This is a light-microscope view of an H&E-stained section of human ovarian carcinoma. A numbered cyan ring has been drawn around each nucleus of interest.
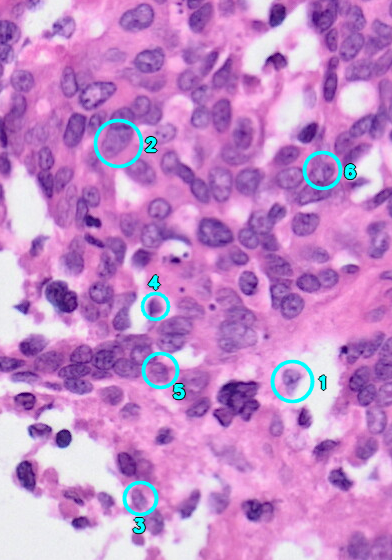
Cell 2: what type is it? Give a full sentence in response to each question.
Cell 2 should be recorded as a carcinoma cell.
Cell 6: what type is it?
The cell that goes by number 6 is a carcinoma cell.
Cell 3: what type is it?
Recognised here as a macrophage or monocyte is the cell numbered 3.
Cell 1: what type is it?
Heads up, the cell numbered 1 is a macrophage or monocyte.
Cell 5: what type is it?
Cell 5 in the field of view is a carcinoma cell.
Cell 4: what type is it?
Recognised here as a carcinoma cell is the cell numbered 4.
